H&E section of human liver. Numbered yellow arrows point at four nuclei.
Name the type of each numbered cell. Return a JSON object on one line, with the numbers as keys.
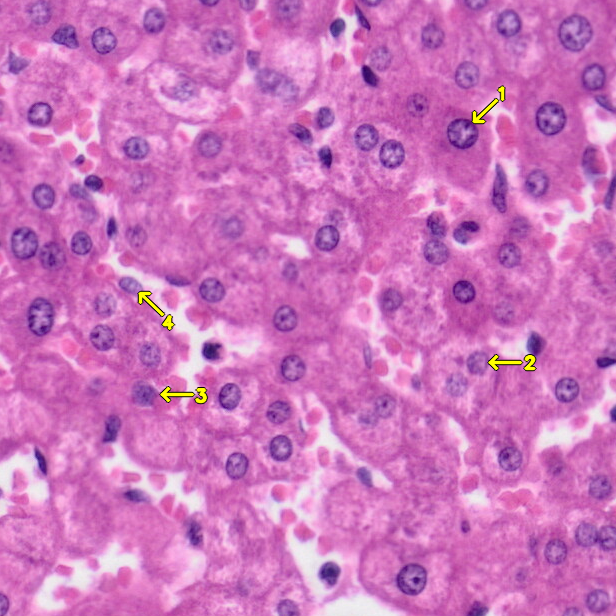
{"1": "hepatocyte", "2": "hepatocyte", "3": "endothelial cell", "4": "Kupffer cell"}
